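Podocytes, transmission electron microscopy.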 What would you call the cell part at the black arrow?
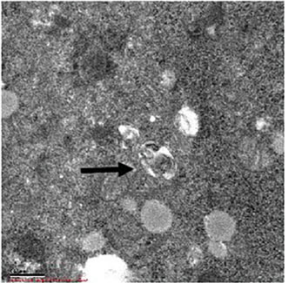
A: Autophagosomes.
